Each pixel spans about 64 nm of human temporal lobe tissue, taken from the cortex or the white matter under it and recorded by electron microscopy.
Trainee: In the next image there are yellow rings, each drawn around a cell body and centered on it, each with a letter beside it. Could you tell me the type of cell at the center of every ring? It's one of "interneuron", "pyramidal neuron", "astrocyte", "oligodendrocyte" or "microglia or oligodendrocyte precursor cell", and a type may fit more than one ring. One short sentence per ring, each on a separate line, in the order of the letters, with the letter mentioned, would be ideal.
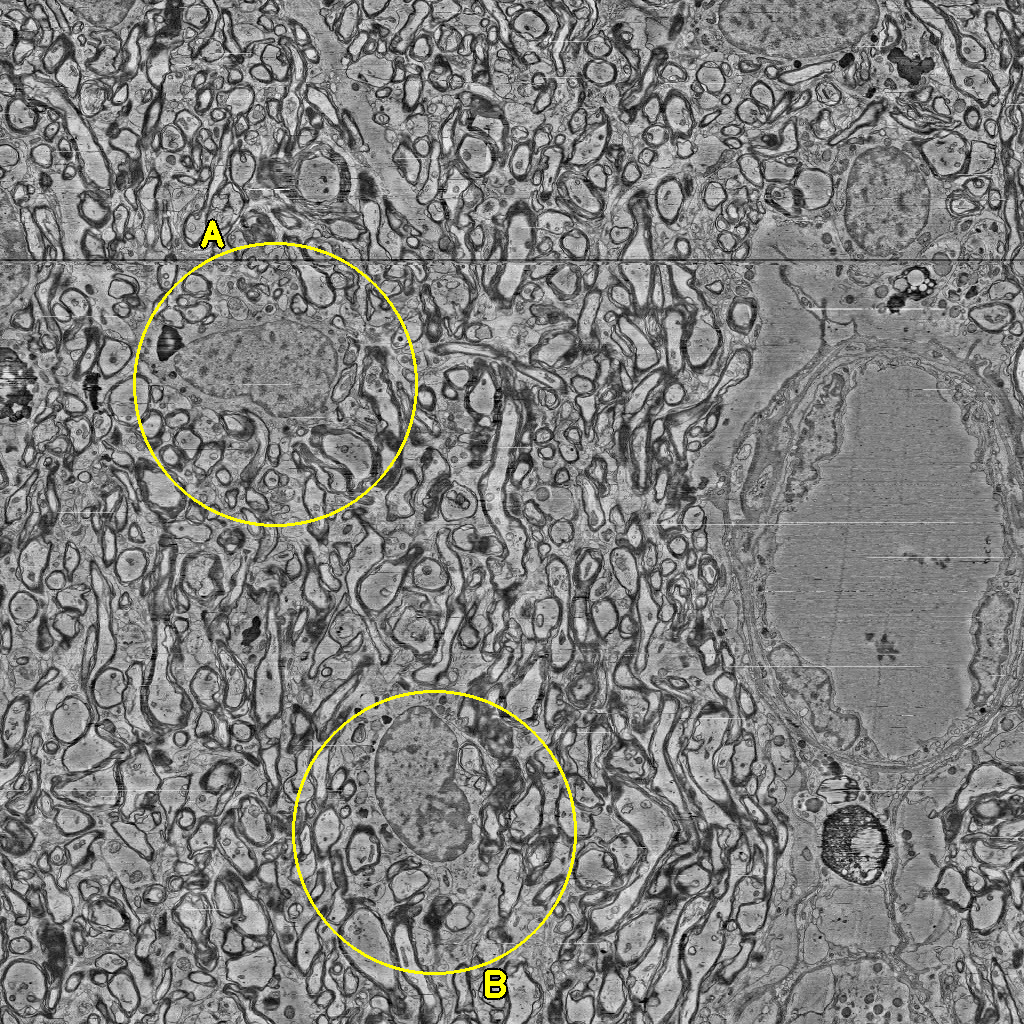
What ring A is centered on is an oligodendrocyte.
What ring B is centered on is a microglial cell or oligodendrocyte precursor cell.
